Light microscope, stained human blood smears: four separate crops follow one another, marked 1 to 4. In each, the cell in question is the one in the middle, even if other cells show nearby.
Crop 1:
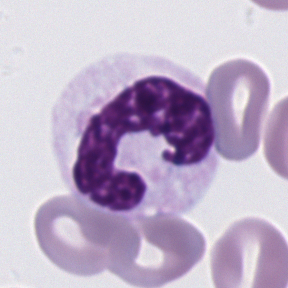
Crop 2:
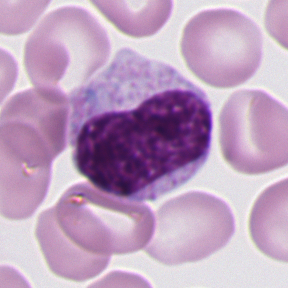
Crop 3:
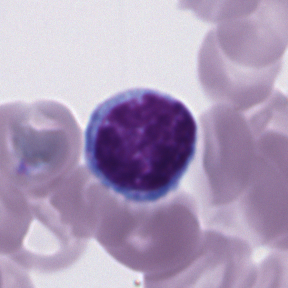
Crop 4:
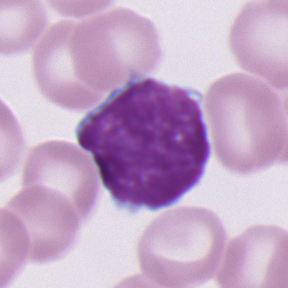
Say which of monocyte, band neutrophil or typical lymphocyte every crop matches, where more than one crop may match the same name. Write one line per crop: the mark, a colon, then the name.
1: band neutrophil
2: band neutrophil
3: typical lymphocyte
4: typical lymphocyte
